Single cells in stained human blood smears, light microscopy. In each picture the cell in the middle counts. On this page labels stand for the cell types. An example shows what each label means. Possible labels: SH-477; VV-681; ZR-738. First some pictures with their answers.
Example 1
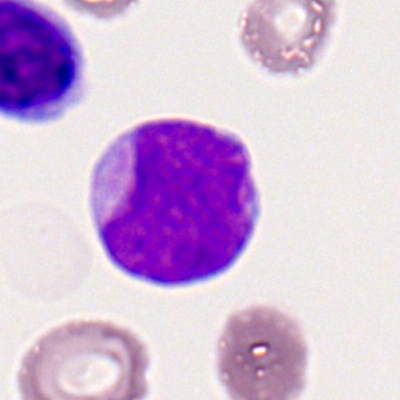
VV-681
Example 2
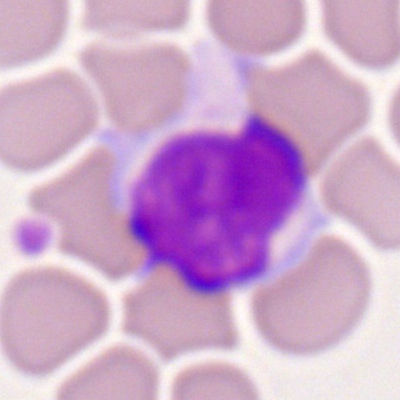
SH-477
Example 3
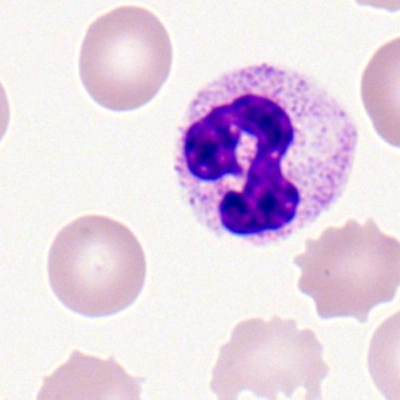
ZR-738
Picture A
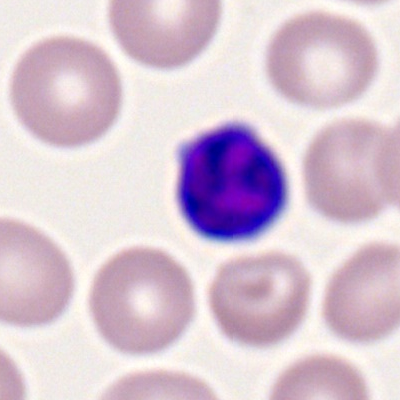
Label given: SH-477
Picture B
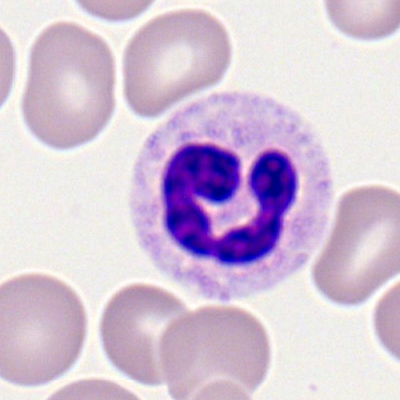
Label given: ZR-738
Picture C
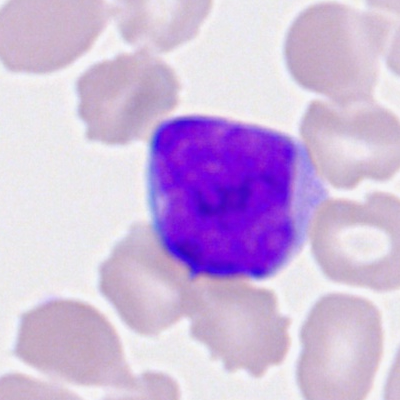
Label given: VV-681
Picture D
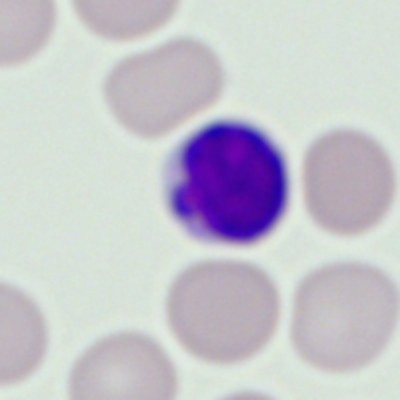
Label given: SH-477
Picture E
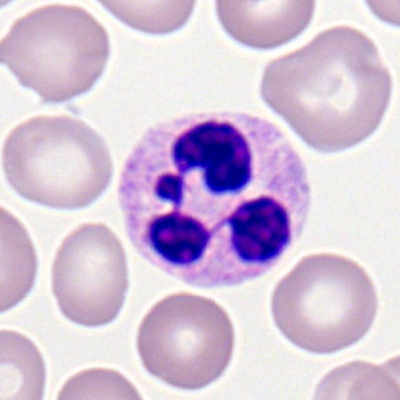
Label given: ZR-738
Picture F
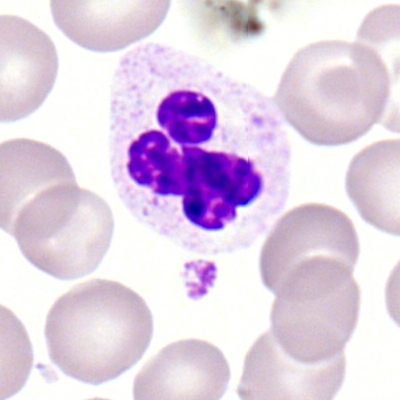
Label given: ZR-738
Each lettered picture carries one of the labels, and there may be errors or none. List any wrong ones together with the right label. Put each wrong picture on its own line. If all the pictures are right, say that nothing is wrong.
Nothing to fix; every label fits.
